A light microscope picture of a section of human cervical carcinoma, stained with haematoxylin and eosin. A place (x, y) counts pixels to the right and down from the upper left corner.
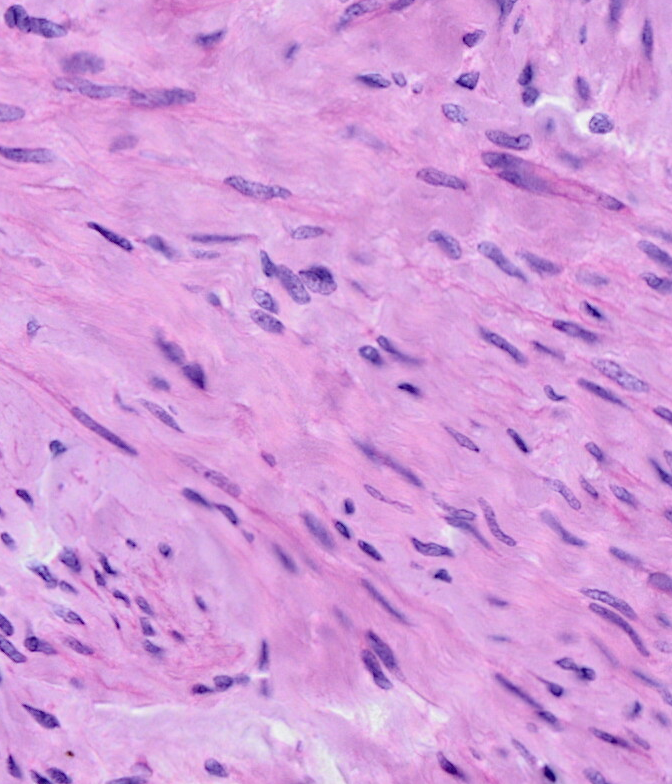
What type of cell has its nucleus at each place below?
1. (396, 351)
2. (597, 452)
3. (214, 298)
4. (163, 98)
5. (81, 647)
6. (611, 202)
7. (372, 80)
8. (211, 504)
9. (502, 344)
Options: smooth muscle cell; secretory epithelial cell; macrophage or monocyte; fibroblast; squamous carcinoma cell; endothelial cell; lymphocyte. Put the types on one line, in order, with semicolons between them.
fibroblast; smooth muscle cell; fibroblast; smooth muscle cell; smooth muscle cell; smooth muscle cell; fibroblast; fibroblast; fibroblast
